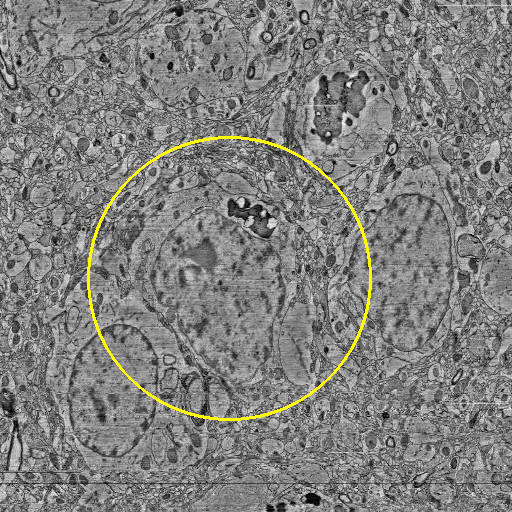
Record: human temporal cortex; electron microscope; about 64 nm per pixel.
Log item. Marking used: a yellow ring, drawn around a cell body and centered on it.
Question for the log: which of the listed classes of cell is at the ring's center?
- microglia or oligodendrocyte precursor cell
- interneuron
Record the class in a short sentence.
At the center of the ring lies an interneuron.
